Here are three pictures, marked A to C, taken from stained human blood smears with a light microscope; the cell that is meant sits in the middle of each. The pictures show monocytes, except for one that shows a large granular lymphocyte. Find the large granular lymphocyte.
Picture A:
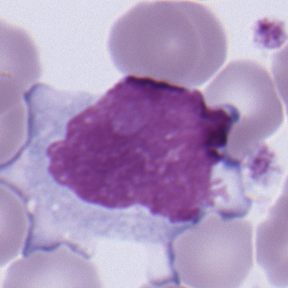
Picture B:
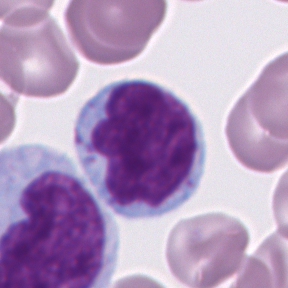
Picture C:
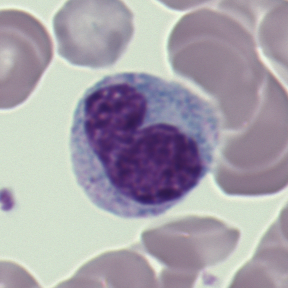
B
